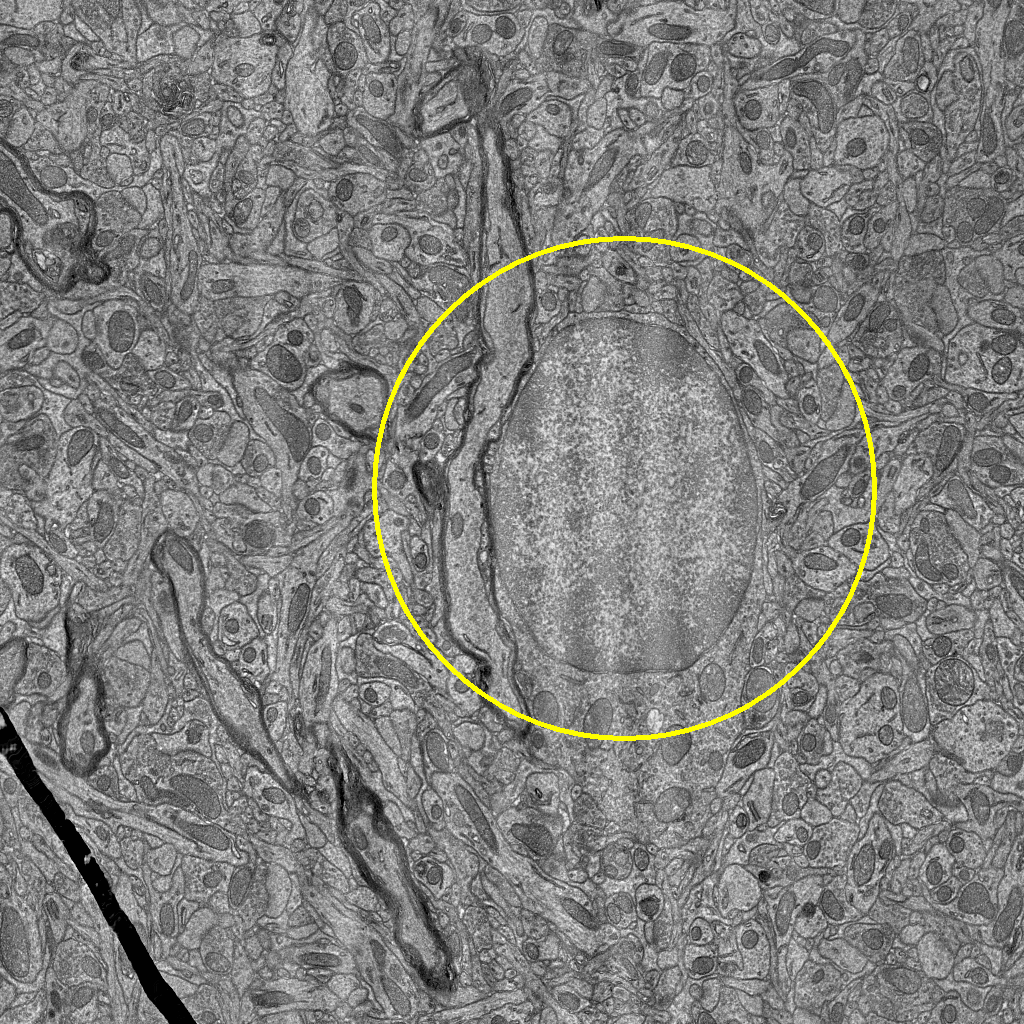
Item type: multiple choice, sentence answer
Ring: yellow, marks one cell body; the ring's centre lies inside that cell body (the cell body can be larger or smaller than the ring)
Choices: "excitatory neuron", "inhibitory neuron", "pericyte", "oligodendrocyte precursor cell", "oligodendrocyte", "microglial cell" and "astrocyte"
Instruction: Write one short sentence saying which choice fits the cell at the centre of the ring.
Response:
The centre of this ring lies on an oligodendrocyte.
